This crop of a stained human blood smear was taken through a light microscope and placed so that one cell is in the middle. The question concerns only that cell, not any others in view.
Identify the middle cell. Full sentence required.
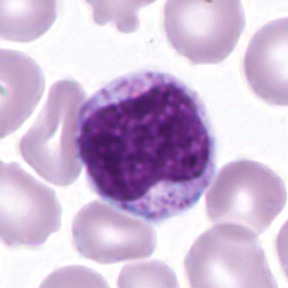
The cell occupying the middle of the crop is a metamyelocyte.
